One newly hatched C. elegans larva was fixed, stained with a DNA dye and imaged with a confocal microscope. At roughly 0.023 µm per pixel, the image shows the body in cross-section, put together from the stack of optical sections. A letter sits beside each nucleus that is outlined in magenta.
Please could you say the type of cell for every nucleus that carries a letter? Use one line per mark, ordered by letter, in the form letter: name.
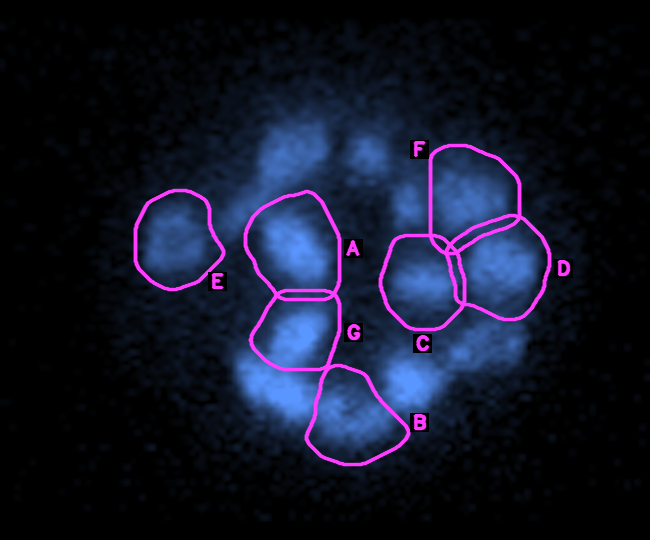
A: neuron
B: seam cell
C: pharyngeal epithelial cell
D: hypodermal cell (hyp)
E: body wall muscle cell
F: body wall muscle cell
G: neuron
